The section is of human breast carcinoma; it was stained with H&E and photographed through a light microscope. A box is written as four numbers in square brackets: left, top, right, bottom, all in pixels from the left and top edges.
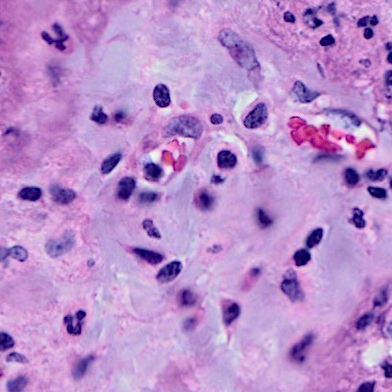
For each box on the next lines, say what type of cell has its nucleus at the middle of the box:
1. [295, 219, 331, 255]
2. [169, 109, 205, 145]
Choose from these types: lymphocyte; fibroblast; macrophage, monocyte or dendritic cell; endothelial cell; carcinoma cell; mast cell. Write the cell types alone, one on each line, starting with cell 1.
lymphocyte
endothelial cell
